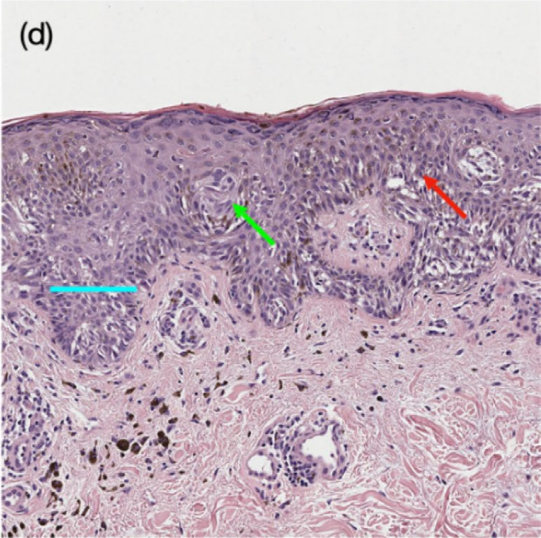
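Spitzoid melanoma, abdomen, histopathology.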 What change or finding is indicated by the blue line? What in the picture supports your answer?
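The line lies across a wide, rounded downgrowth of epidermis into the dermis.
Answer: broadened retes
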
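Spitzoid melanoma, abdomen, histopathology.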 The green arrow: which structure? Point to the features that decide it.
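Junctional nests. The arrow points at a rounded cluster of cells with paler cytoplasm. The cluster is surrounded by keratinocytes of the epidermis.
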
